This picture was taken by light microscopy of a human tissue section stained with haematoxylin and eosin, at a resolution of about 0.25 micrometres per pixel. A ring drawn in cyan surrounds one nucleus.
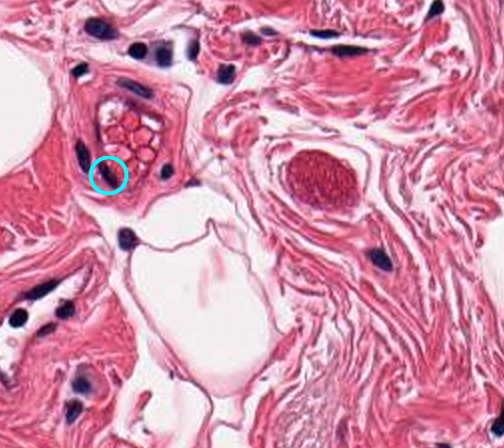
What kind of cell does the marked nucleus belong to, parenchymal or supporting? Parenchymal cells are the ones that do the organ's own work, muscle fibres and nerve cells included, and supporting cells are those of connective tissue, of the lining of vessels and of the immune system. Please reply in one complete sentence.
Here the marked nucleus is the nucleus of a supporting cell.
